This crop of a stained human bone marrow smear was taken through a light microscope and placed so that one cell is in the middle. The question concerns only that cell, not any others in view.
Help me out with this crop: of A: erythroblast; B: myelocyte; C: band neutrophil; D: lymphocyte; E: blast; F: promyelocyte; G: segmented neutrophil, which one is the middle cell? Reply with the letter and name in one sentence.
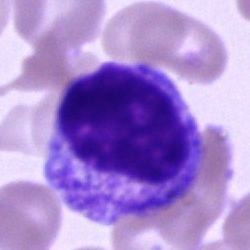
Option B holds up: the cell in the middle is a myelocyte.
